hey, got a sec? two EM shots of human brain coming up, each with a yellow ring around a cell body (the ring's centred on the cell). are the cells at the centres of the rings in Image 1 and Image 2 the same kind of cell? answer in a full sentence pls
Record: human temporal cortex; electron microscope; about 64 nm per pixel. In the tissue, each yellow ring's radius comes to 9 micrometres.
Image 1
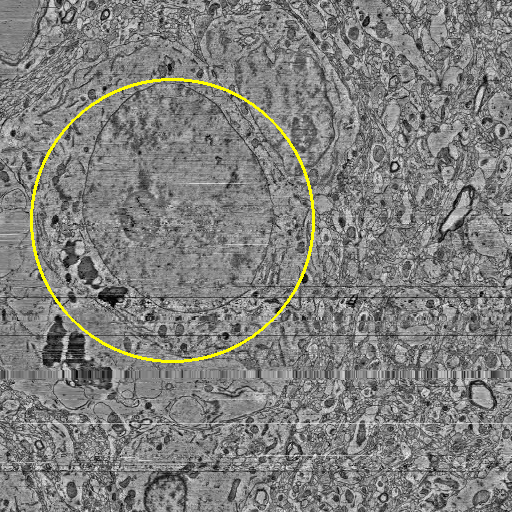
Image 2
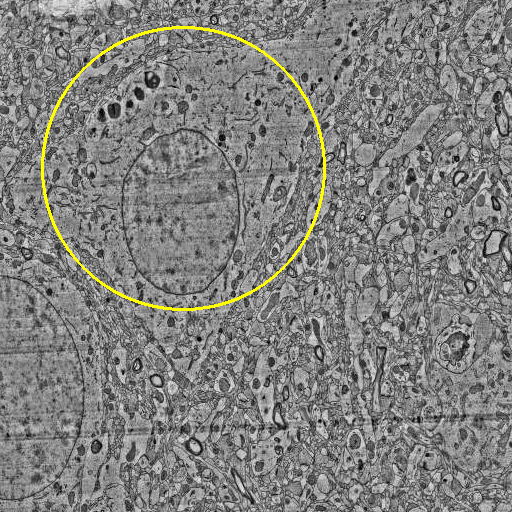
Yes, both are the same kind of cell.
